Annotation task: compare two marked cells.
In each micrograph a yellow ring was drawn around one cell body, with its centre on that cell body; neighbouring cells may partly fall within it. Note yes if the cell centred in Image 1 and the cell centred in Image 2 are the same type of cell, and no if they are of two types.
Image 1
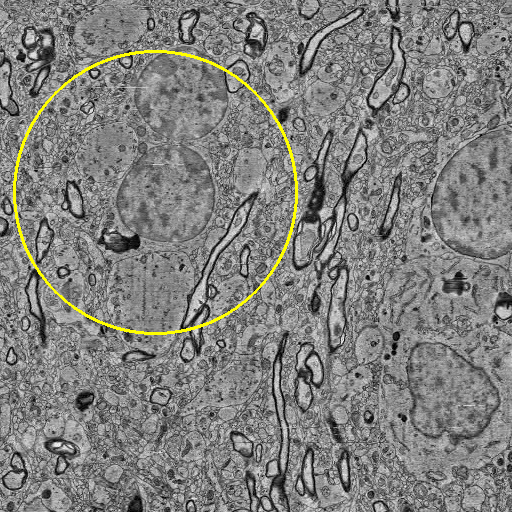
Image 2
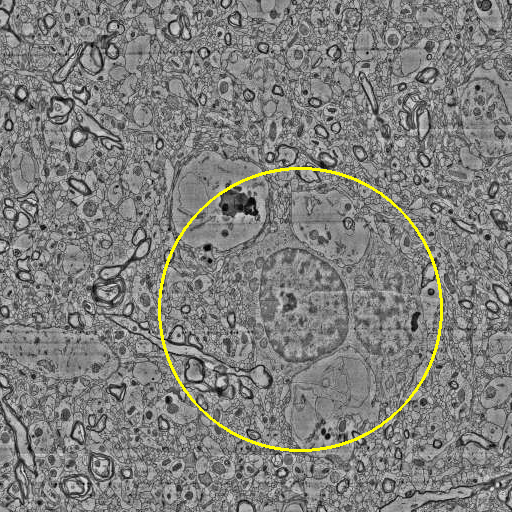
yes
